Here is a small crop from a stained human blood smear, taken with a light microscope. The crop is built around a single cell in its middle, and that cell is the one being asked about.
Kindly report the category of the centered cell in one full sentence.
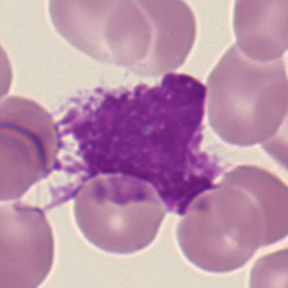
Within this crop, a smudge cell occupies the central position.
